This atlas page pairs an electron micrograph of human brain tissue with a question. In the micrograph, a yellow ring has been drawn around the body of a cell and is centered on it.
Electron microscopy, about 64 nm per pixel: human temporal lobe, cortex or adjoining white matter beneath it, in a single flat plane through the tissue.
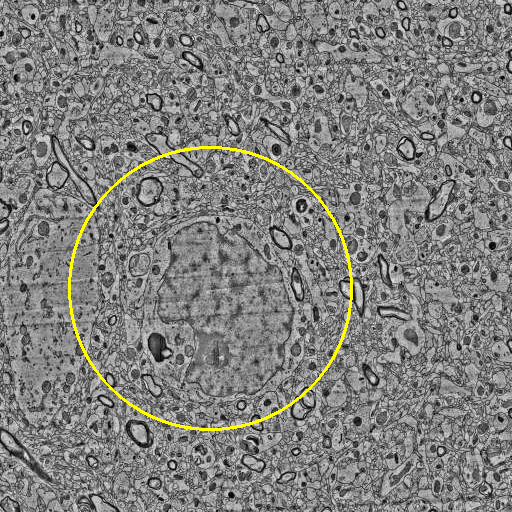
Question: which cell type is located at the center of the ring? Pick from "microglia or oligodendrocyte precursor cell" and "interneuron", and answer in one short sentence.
Located at the center of the ring is an interneuron.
